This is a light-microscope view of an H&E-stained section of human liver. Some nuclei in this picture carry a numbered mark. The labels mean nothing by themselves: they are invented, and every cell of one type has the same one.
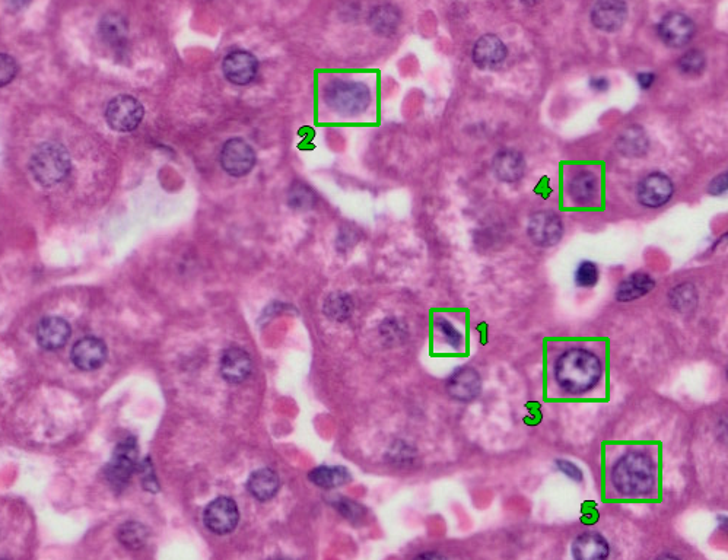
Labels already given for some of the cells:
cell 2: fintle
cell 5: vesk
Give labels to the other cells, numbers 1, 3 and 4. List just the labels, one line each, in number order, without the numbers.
fintle
vesk
vesk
